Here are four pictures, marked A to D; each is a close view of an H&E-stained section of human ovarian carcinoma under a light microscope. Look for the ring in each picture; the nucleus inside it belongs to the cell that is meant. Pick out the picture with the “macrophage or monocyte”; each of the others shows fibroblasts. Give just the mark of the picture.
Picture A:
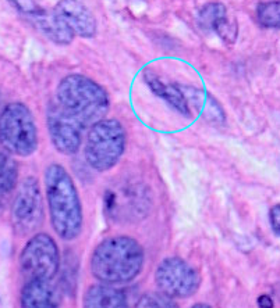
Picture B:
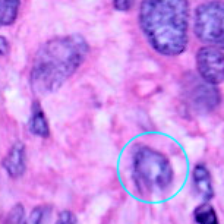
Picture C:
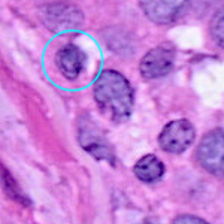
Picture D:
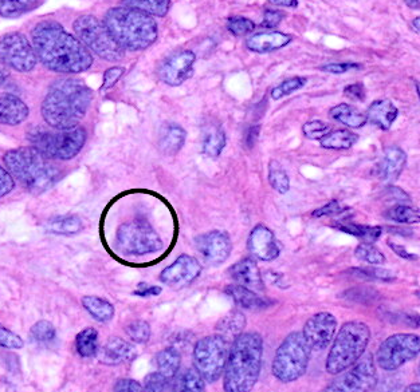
C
